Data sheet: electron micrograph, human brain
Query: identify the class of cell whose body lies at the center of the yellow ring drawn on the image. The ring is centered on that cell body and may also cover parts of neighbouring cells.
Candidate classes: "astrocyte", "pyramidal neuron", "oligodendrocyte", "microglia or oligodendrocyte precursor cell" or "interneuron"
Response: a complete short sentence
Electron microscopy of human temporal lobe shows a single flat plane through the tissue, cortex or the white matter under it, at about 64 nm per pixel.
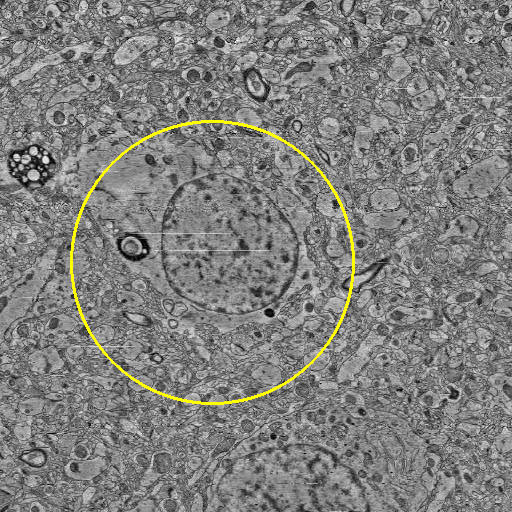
At the center of the ring lies an astrocyte.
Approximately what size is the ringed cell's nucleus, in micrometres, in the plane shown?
The nucleus of the ringed cell is approximately 10 by 9 micrometres in this plane.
